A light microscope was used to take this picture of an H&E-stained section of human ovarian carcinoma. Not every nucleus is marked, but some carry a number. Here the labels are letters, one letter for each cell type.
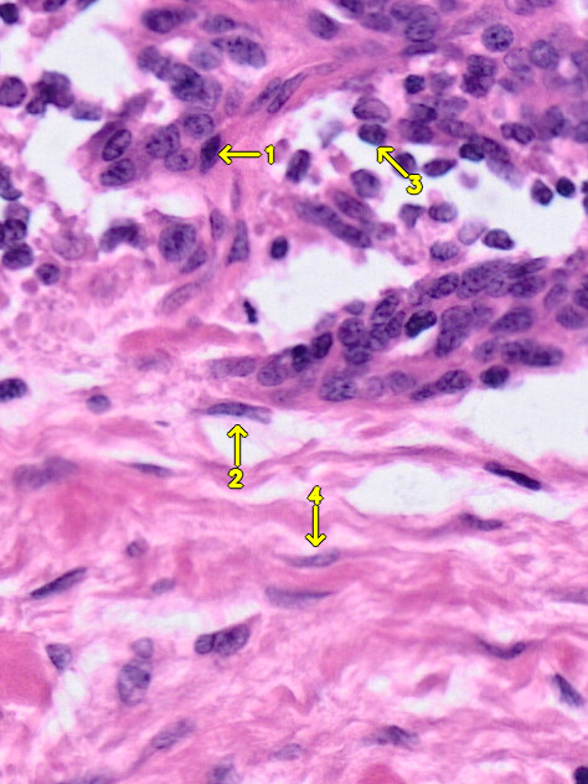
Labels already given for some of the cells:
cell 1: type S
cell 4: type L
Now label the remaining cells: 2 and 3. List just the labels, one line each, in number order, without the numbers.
type L
type S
